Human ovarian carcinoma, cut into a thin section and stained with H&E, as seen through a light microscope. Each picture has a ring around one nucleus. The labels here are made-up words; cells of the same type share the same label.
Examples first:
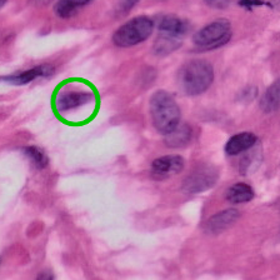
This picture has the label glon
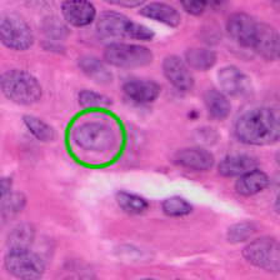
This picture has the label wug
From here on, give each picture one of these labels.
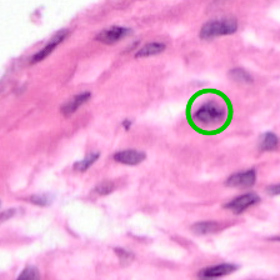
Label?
glon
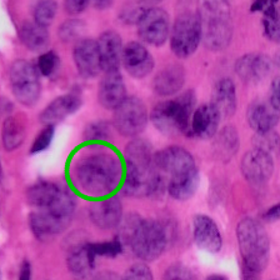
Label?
wug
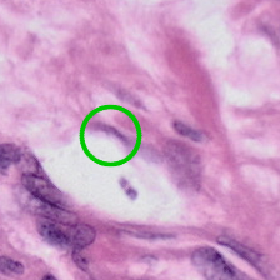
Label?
glon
